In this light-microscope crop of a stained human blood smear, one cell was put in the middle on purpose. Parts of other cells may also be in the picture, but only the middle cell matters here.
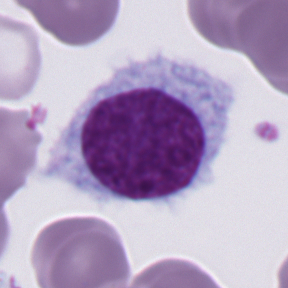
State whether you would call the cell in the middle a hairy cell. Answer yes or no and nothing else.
yes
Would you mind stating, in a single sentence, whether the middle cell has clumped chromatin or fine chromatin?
Coarse clumps are absent, and the chromatin is fine throughout.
